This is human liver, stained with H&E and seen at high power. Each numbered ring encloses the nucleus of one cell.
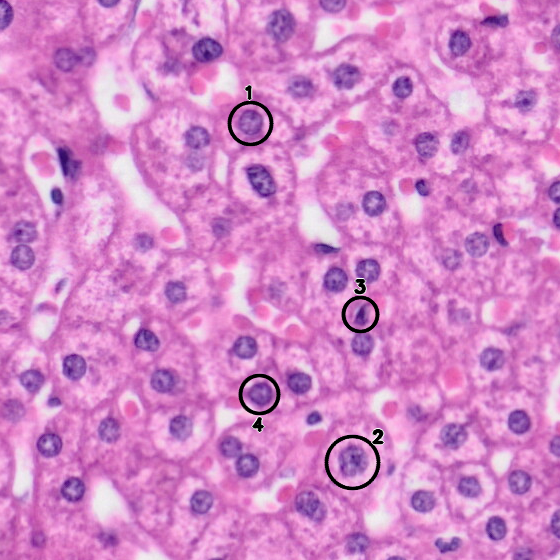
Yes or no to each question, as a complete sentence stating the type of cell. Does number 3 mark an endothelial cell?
Yes, the cell tagged with the number 3 is an endothelial cell.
